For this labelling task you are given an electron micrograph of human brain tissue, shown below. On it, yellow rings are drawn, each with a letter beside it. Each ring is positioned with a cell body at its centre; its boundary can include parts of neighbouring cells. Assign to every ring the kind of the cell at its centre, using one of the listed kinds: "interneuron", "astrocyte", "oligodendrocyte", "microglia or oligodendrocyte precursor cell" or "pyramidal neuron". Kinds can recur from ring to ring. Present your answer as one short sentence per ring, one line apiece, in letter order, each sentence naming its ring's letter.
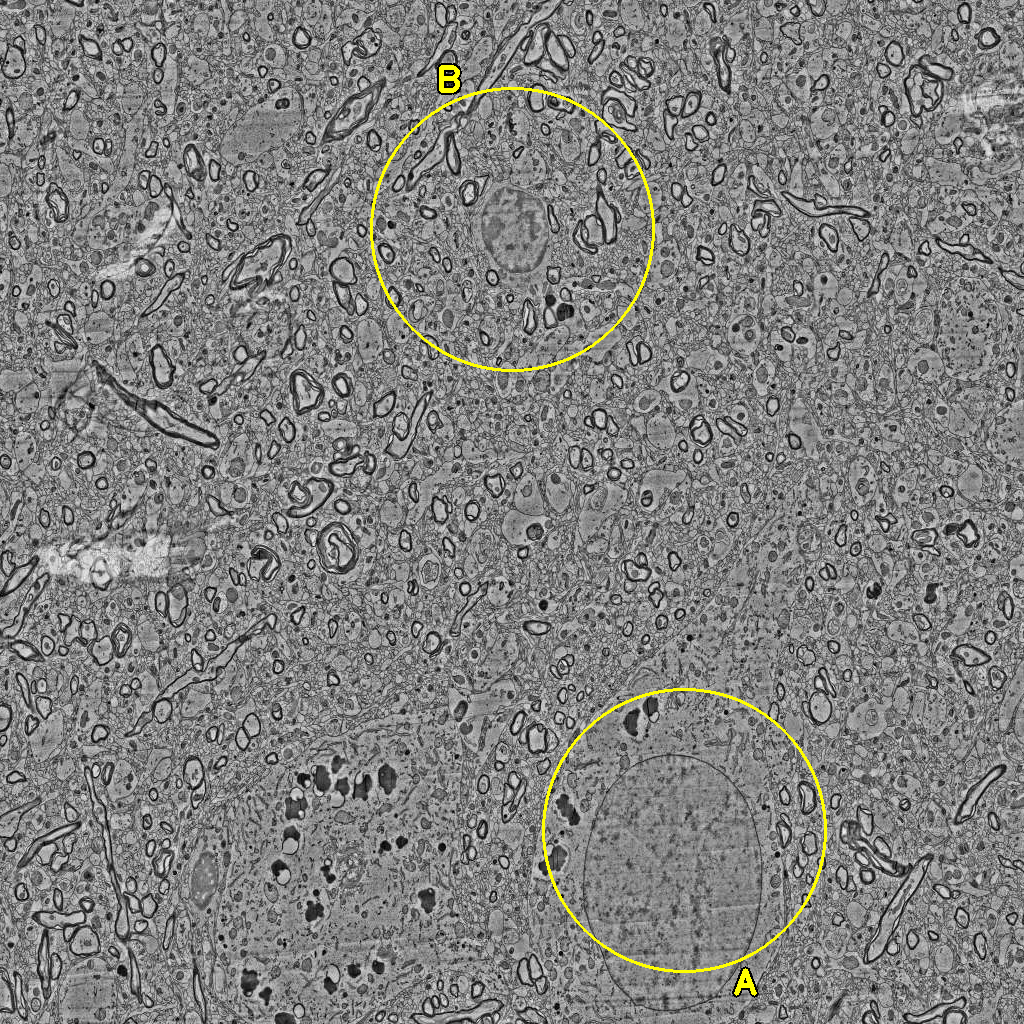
The cell in the middle of ring A is a pyramidal neuron.
The cell in the middle of ring B is an oligodendrocyte.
